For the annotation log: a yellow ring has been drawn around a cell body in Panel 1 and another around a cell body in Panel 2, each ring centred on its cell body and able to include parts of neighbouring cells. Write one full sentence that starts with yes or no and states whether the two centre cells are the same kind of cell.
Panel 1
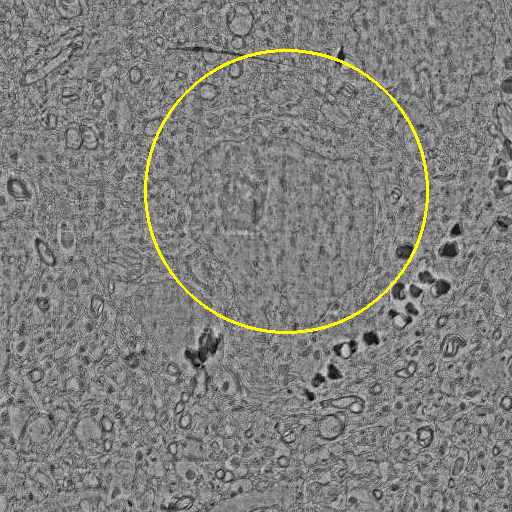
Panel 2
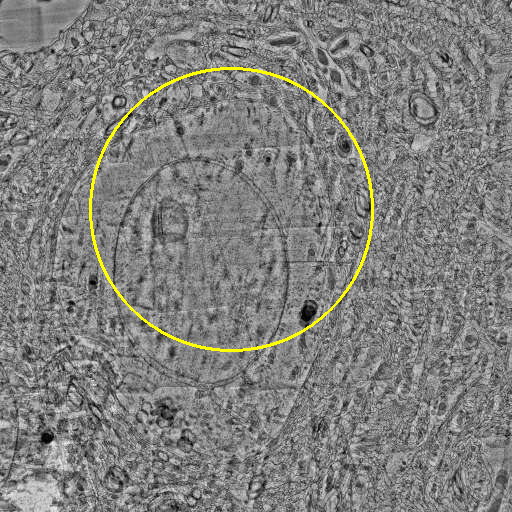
Yes, the two centre cells are the same kind of cell.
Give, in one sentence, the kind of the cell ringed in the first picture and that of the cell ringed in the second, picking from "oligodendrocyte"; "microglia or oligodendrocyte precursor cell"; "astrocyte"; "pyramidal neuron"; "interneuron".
Each cell, in the first picture and the second, is a pyramidal neuron.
